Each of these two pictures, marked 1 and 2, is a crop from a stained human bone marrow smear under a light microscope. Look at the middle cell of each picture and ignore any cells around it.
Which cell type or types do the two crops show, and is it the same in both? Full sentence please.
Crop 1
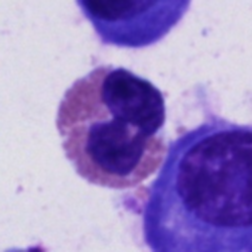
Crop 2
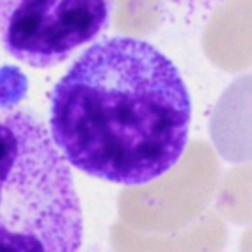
No; crop 1 is an eosinophil, while crop 2 is a myelocyte.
